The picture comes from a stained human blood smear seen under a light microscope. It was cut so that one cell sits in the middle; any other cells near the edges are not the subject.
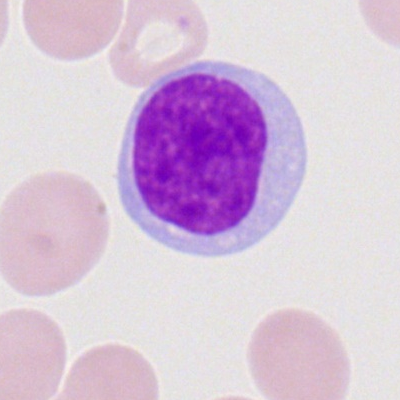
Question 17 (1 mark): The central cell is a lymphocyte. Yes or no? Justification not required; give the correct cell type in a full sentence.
Yes, the cell at the middle is a lymphocyte.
